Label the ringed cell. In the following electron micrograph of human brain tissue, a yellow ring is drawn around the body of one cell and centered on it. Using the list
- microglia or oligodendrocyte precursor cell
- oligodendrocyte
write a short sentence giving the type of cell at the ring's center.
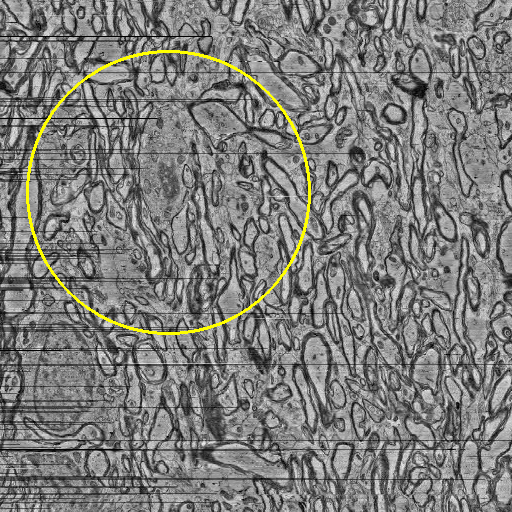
The cell body at the ring's center is that of an oligodendrocyte.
